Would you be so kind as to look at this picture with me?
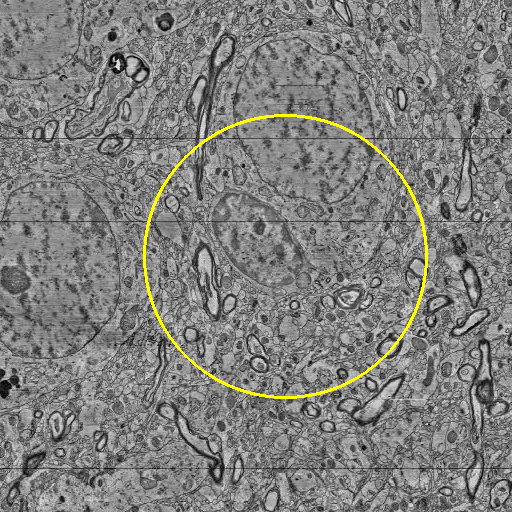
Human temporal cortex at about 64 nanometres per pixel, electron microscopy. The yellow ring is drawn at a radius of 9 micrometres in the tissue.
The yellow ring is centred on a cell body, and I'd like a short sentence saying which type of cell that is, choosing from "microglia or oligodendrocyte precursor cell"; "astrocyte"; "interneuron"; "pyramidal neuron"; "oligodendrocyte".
The cell body in the ring belongs to an oligodendrocyte.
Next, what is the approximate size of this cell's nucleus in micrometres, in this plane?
The nucleus comes to approximately 7 by 4 micrometres and is clearly longer than it is wide in this plane.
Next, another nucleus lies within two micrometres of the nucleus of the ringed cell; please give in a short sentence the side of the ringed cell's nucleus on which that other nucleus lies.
That nucleus lies above it.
